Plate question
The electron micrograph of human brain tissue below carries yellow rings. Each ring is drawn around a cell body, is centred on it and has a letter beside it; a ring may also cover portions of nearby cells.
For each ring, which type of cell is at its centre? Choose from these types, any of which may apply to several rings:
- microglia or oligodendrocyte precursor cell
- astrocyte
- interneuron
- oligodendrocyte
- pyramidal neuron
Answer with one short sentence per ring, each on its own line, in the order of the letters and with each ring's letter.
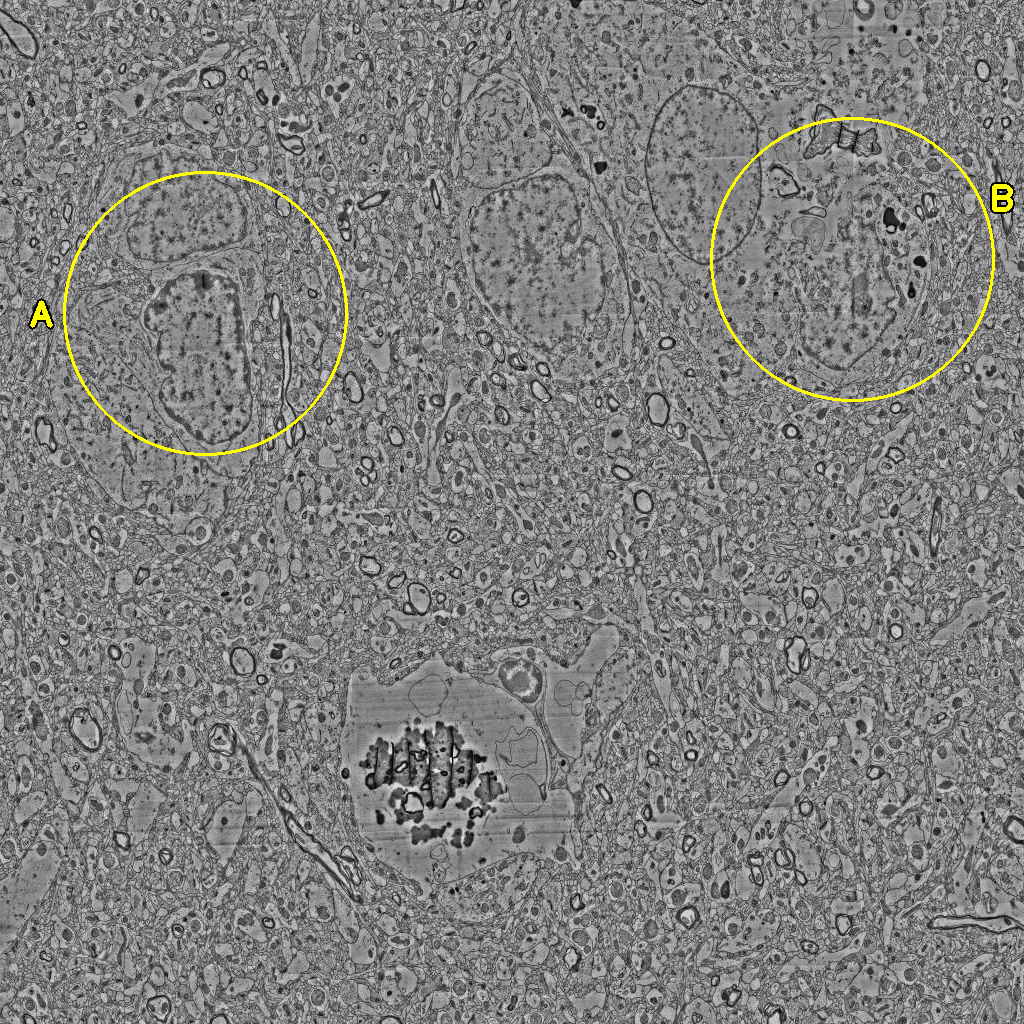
The cell ringed as A is a microglial cell or oligodendrocyte precursor cell.
The cell ringed as B is an interneuron.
